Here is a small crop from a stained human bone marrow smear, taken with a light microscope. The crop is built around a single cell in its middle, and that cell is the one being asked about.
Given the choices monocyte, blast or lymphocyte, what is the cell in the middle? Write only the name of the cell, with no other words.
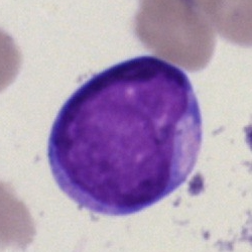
blast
